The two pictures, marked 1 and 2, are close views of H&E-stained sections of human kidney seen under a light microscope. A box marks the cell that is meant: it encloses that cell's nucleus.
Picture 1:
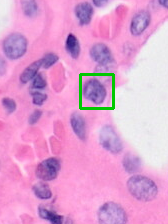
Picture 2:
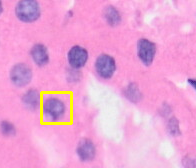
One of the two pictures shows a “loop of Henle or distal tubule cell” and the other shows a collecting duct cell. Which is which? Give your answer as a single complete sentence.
In picture 1 the cell is a collecting duct cell; in picture 2, a “loop of Henle or distal tubule cell”.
